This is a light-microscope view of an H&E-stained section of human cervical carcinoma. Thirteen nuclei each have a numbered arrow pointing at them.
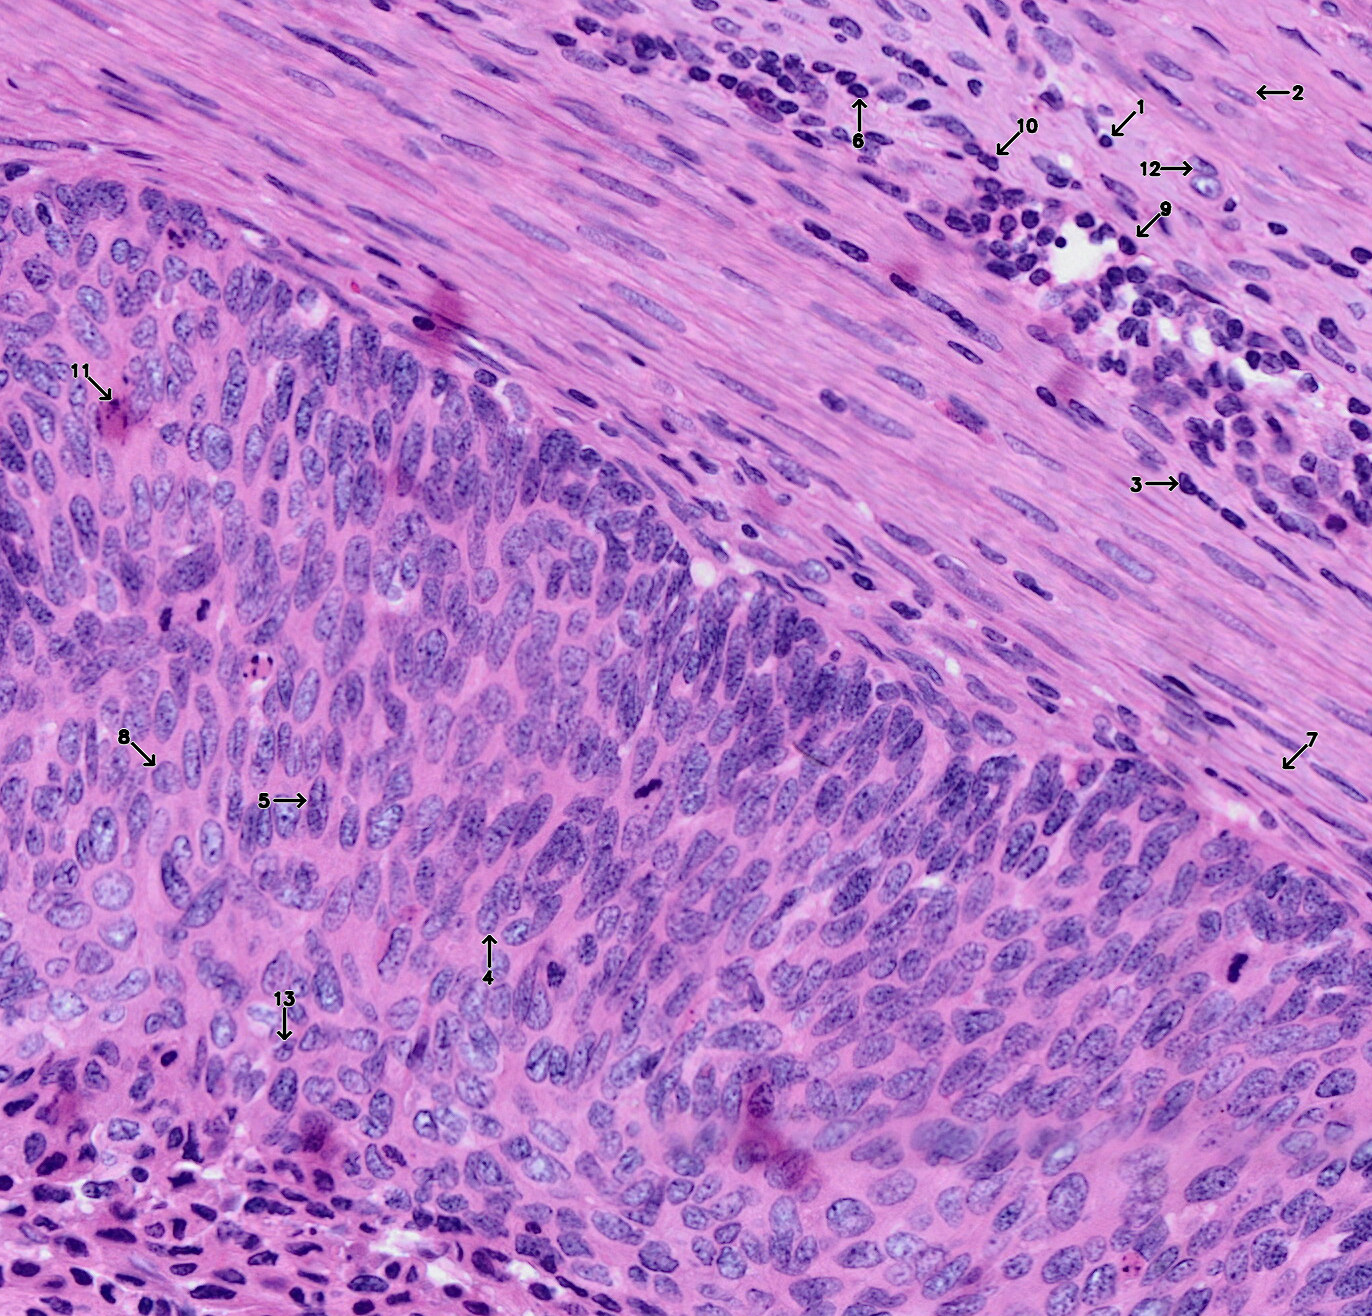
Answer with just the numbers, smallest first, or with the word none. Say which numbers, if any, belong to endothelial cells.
12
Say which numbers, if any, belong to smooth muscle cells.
2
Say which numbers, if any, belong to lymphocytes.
1, 3, 6, 9, 10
